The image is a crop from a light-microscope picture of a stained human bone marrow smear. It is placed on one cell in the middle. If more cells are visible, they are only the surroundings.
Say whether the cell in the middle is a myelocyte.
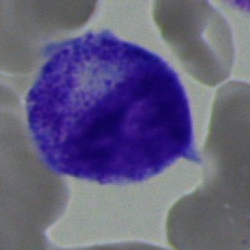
yes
